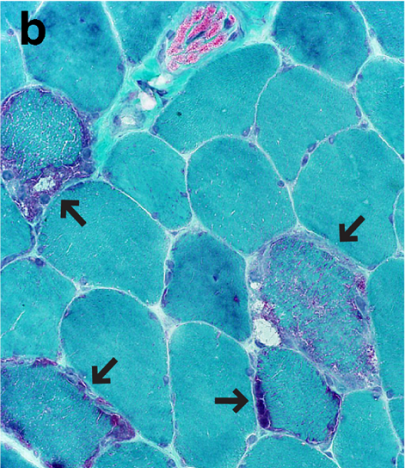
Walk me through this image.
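This cross-section of skeletal muscle shows polygonal to rounded muscle fibers stained blue-green, separated by thin strands of connective tissue. Most fibers have an even, smooth blue-green cytoplasm with small dark nuclei at their edges. Several fibers instead contain irregular, granular reddish-purple deposits, concentrated beneath their surface and in some fibers spreading into the interior. These fibers look ragged at the periphery compared with their neighbours. A small blood vessel with red-stained contents lies in the connective tissue at the top.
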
